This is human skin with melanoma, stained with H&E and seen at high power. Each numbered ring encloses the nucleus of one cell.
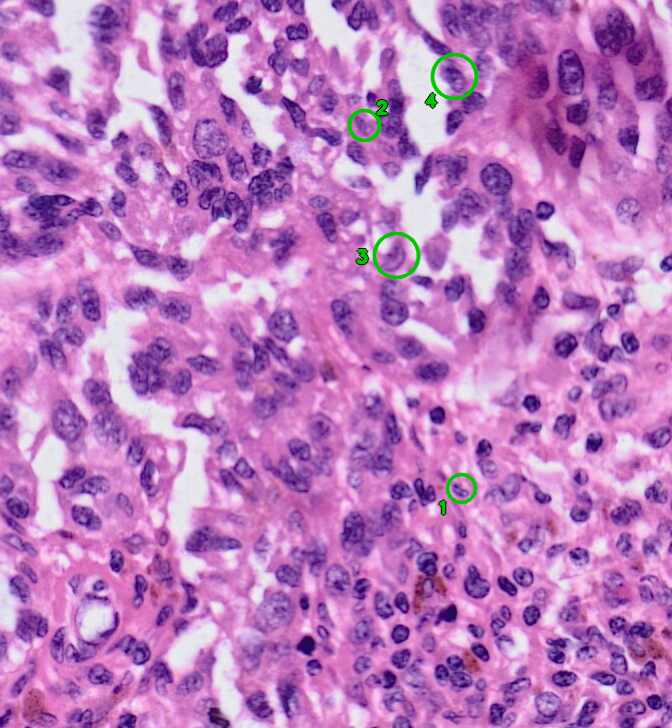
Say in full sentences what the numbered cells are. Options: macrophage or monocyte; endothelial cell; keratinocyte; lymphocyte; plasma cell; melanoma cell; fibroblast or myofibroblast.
Cell 1 is a lymphocyte. Cells 2, 3 and 4 are melanoma cells.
